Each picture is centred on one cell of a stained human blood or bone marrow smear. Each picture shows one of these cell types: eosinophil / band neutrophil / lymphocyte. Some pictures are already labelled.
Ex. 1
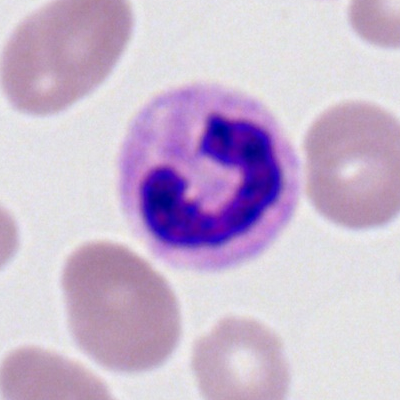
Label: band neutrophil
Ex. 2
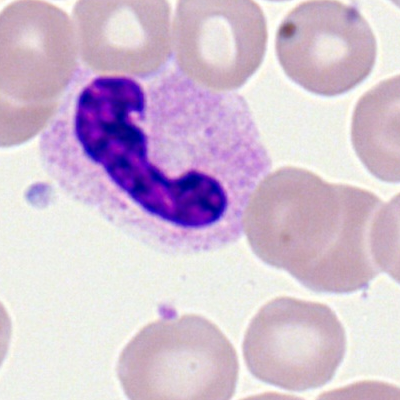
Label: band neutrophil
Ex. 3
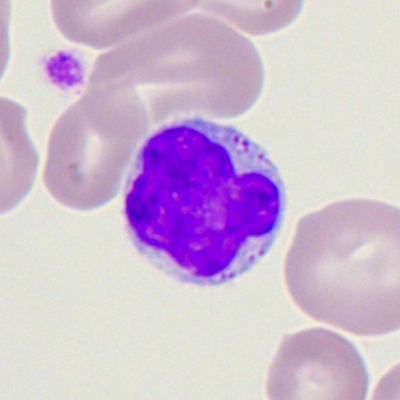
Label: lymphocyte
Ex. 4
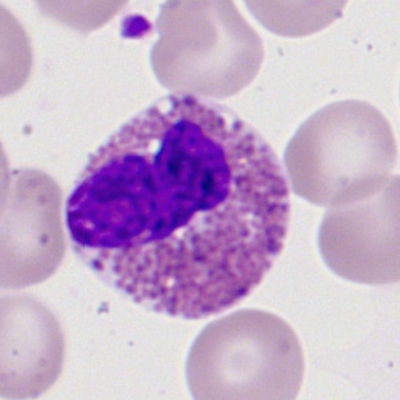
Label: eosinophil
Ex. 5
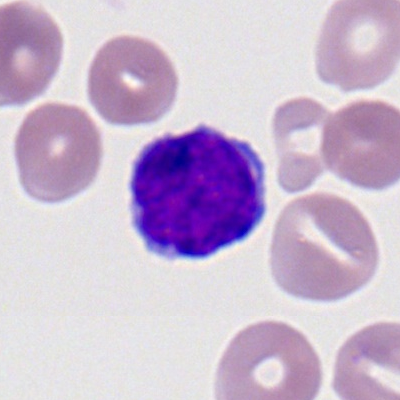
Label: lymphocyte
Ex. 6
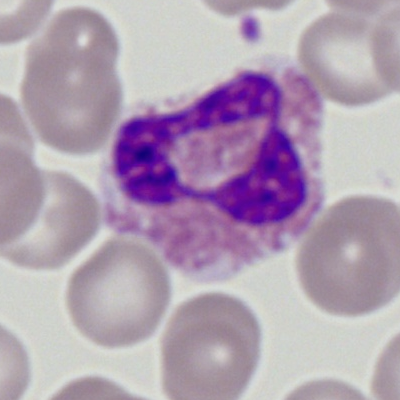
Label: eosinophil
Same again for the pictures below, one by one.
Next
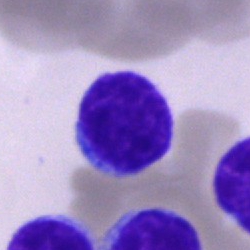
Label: lymphocyte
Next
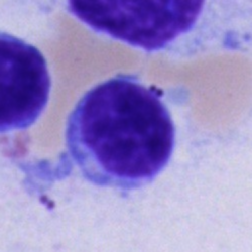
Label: lymphocyte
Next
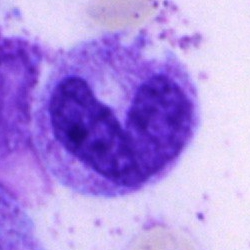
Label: band neutrophil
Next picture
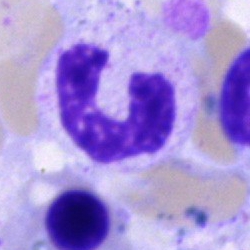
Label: band neutrophil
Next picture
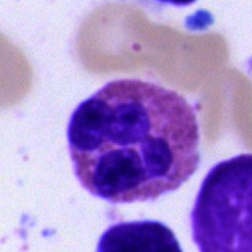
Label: eosinophil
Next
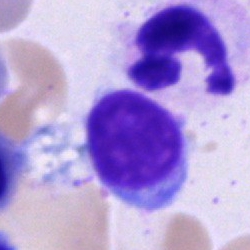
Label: lymphocyte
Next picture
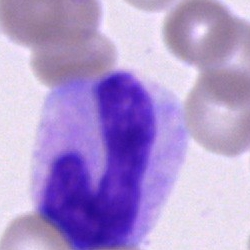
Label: band neutrophil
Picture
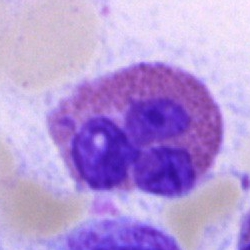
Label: eosinophil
